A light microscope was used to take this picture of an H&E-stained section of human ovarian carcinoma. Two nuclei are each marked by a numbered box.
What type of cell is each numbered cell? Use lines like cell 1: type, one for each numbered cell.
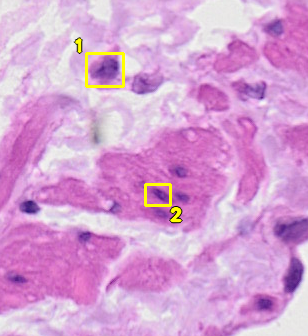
cell 1: macrophage or monocyte
cell 2: smooth muscle cell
